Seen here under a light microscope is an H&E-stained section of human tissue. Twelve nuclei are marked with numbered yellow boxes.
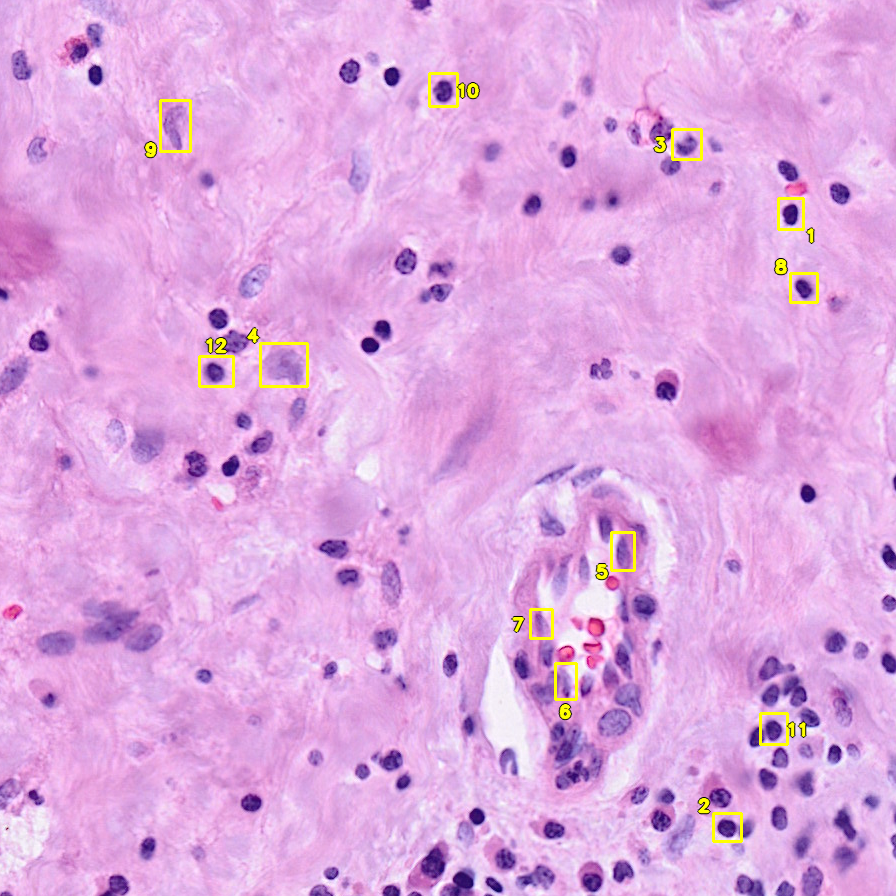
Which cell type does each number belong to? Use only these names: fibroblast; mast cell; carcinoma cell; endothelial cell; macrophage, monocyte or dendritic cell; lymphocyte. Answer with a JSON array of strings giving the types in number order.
["lymphocyte", "lymphocyte", "lymphocyte", "fibroblast", "endothelial cell", "endothelial cell", "endothelial cell", "lymphocyte", "fibroblast", "lymphocyte", "lymphocyte", "lymphocyte"]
